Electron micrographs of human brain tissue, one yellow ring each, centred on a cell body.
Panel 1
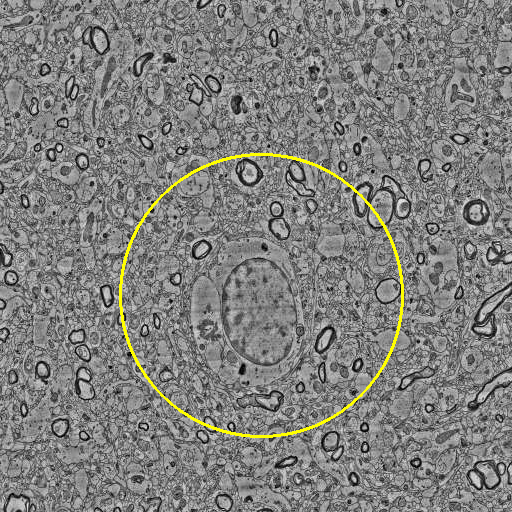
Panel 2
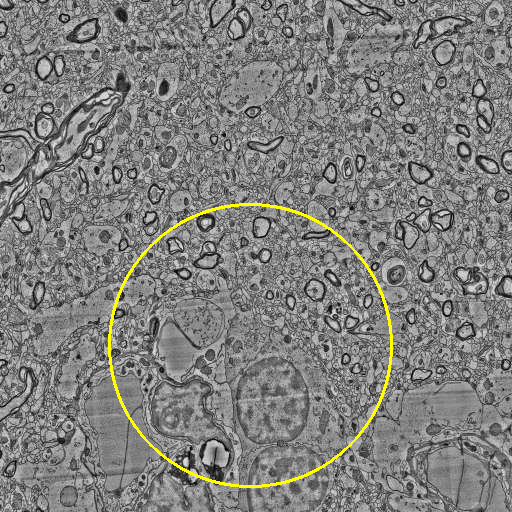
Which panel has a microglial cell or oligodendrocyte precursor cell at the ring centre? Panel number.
1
